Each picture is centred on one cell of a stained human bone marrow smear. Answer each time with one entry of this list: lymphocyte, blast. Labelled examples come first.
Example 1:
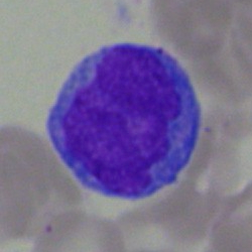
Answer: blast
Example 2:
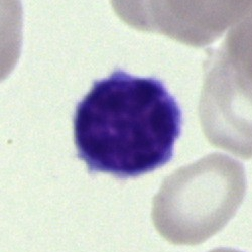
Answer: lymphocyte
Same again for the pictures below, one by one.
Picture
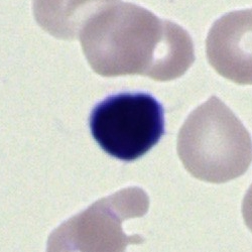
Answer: lymphocyte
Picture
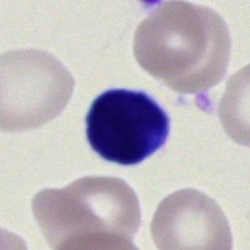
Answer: lymphocyte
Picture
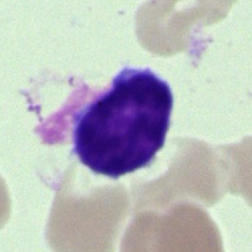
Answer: lymphocyte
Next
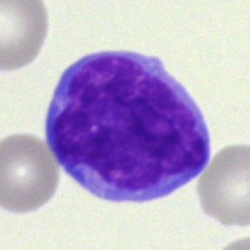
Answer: blast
